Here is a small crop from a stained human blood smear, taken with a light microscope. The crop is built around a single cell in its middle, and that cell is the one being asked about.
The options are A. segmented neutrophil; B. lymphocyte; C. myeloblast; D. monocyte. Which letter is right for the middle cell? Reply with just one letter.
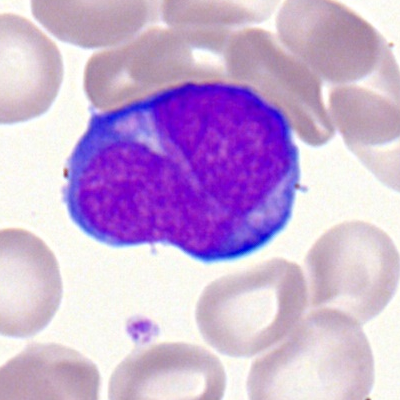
C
